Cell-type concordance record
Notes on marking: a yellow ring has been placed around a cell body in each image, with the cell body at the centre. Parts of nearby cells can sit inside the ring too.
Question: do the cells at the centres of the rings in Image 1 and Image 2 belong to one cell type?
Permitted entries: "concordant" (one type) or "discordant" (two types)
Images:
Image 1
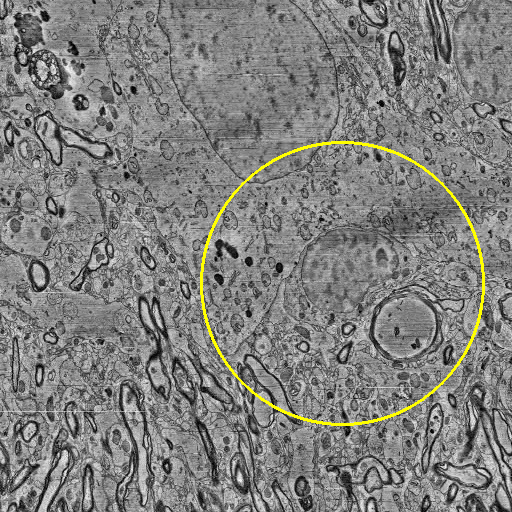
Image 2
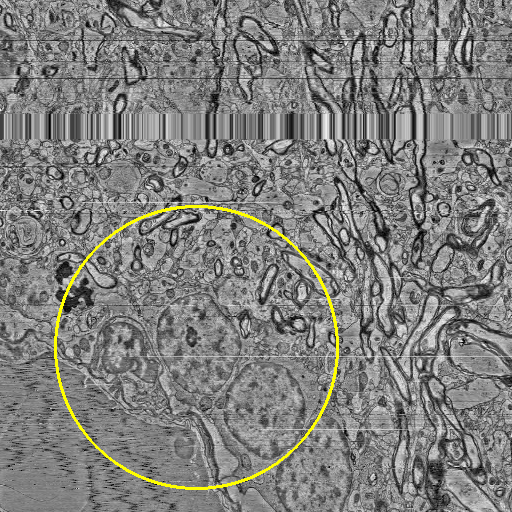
concordant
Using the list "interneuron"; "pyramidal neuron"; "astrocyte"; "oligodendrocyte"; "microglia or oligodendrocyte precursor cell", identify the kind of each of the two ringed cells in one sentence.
Each cell, in the first picture and the second, is an oligodendrocyte.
